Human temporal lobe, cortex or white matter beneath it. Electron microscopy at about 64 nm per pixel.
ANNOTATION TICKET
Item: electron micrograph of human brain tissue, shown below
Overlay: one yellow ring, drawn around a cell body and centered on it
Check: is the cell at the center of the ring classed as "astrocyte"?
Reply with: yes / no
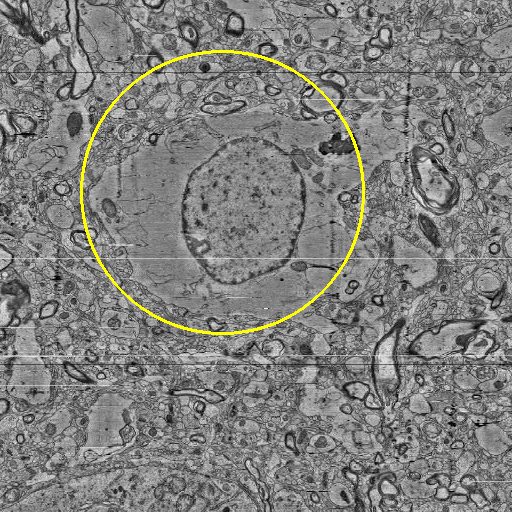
yes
